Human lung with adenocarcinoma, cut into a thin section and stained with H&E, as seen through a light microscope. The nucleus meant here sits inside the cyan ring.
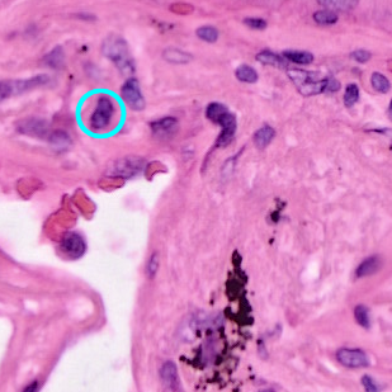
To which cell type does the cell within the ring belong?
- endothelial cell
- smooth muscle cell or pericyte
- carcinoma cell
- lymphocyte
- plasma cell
plasma cell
